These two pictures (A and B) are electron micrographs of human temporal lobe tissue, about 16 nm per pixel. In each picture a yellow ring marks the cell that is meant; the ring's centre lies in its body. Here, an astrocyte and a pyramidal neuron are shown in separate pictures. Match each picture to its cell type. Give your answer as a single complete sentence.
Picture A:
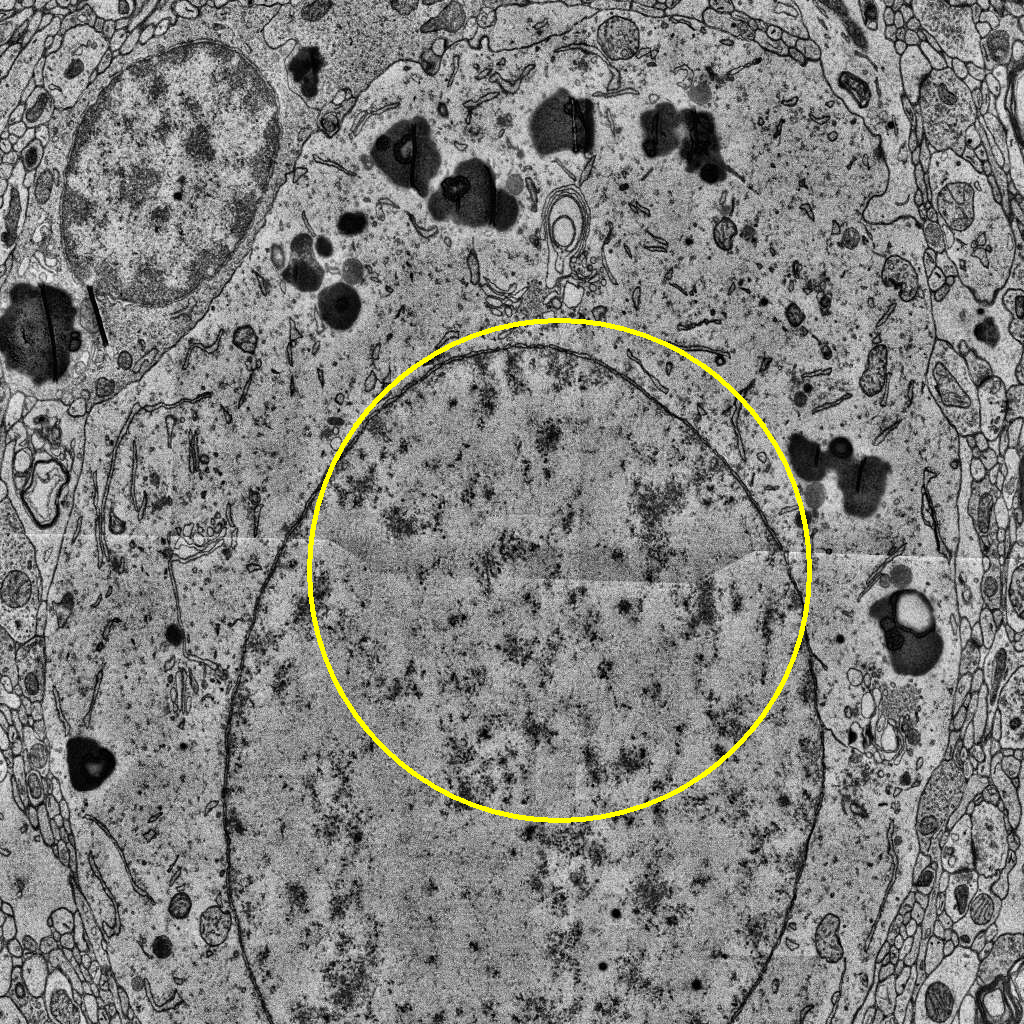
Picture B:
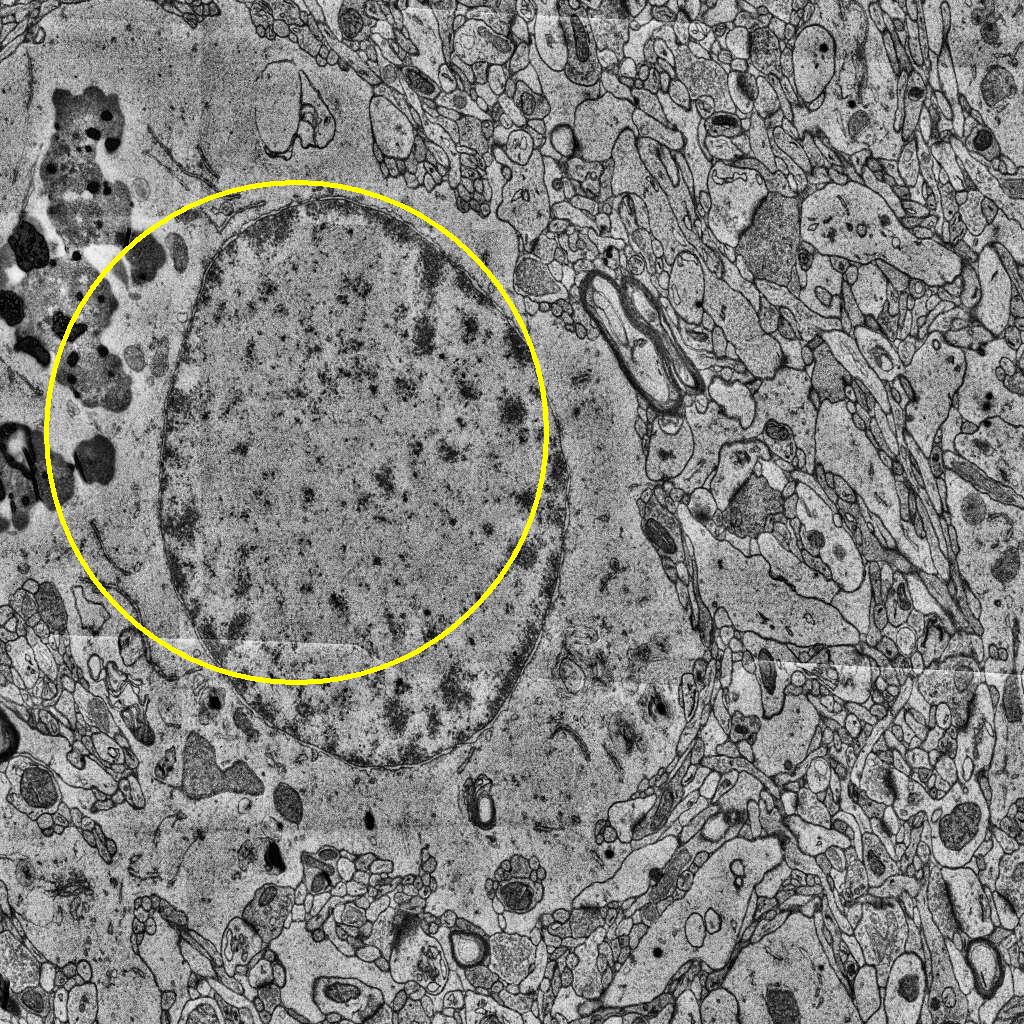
Picture A is of a pyramidal neuron, and picture B is of an astrocyte.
